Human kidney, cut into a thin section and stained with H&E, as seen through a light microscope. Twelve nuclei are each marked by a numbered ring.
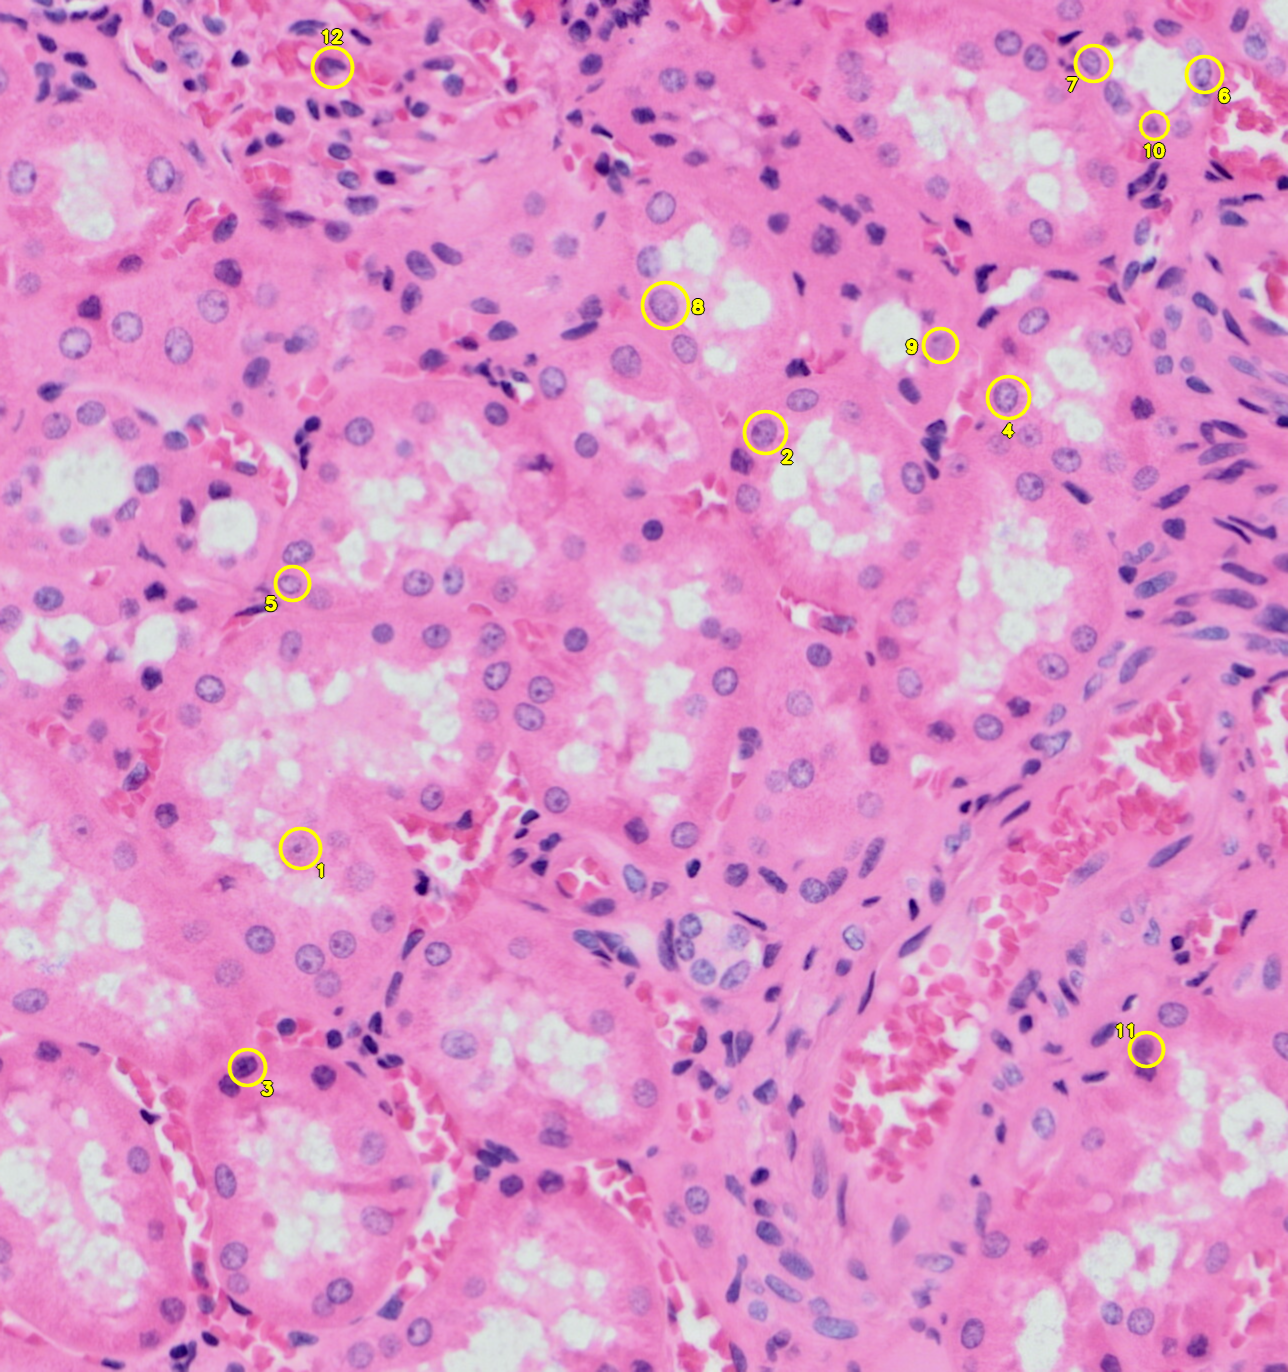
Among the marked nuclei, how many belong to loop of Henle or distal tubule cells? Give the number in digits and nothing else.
1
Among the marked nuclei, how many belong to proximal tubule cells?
7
